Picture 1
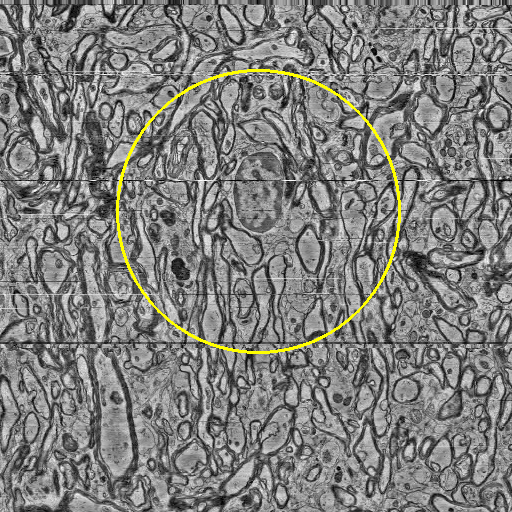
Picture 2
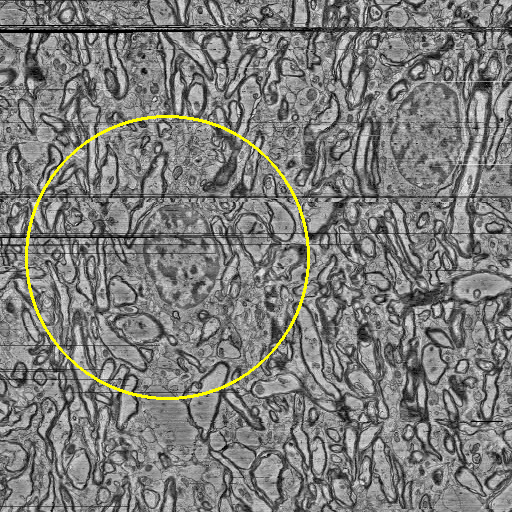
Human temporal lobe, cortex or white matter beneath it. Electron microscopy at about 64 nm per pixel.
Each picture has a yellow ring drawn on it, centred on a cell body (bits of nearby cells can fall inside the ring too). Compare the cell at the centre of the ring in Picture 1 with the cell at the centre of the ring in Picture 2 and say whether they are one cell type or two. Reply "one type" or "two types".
two types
